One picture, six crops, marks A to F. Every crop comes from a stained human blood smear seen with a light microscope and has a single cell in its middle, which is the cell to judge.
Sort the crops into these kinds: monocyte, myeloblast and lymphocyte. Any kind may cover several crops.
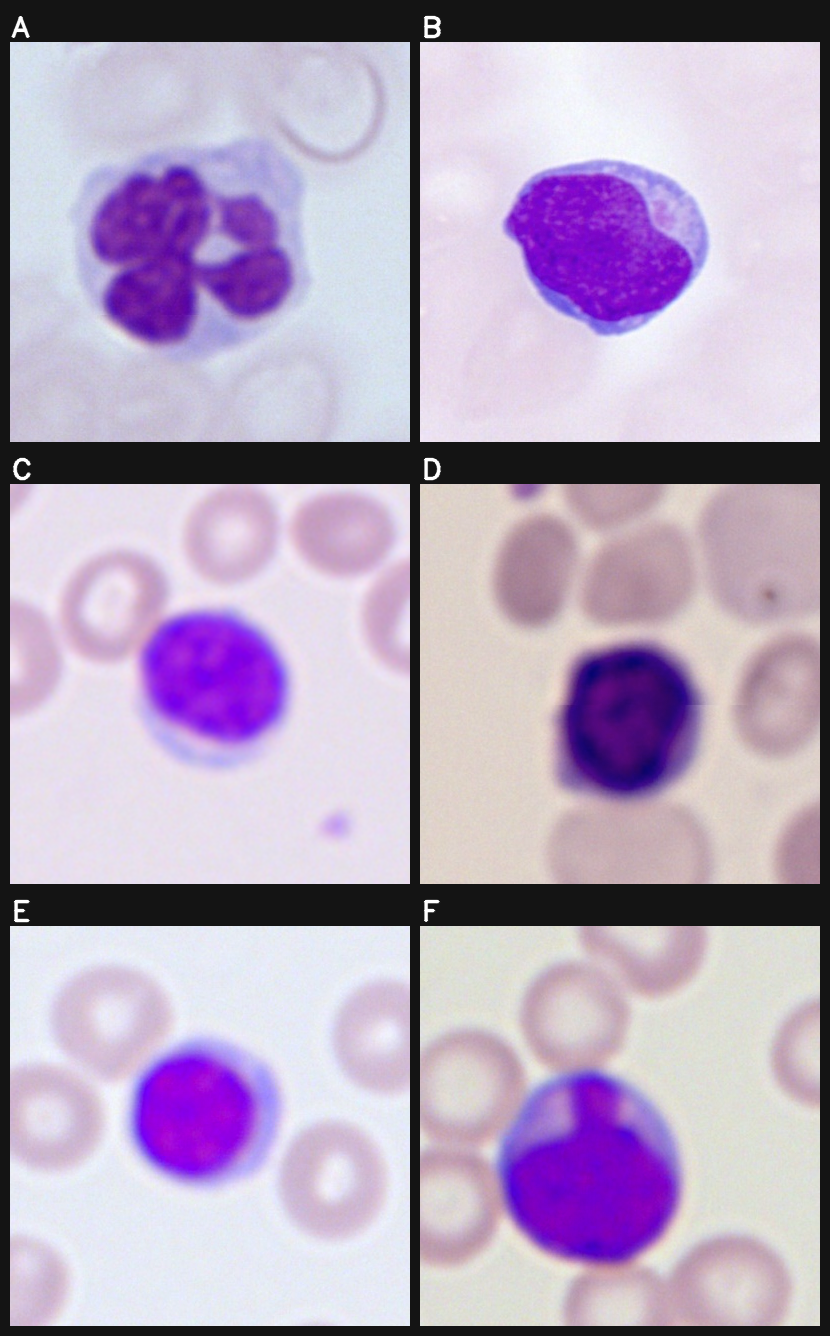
A: monocyte
B: myeloblast
C: lymphocyte
D: lymphocyte
E: lymphocyte
F: lymphocyte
